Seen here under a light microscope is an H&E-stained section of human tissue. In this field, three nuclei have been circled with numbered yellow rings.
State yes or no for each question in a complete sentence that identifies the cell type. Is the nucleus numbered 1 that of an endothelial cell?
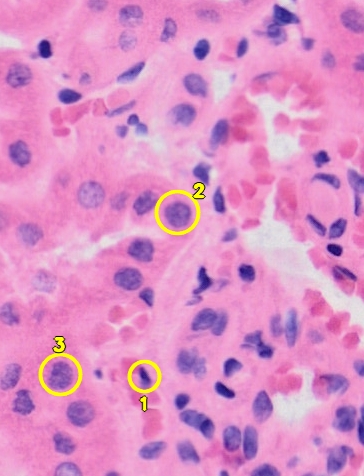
Yes, on this slide, the cell with number 1 is an endothelial cell.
